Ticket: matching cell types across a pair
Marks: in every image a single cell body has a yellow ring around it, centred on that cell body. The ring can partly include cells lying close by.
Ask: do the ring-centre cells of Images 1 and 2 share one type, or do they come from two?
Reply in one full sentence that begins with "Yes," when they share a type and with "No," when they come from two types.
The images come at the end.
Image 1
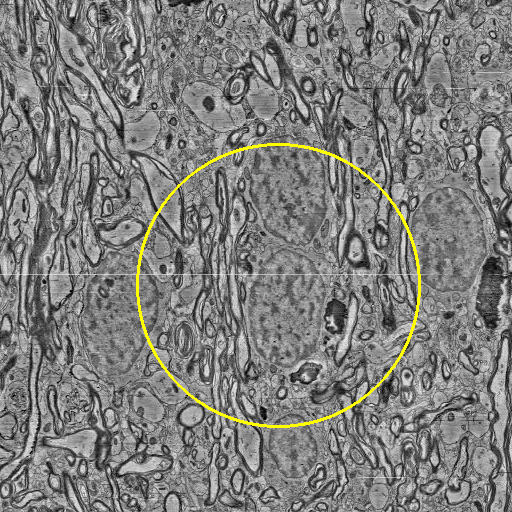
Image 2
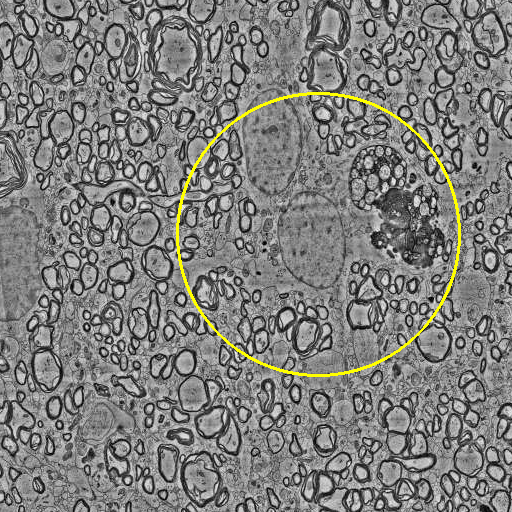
No, the cells in the centres of the rings in Image 1 and Image 2 come from two types.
